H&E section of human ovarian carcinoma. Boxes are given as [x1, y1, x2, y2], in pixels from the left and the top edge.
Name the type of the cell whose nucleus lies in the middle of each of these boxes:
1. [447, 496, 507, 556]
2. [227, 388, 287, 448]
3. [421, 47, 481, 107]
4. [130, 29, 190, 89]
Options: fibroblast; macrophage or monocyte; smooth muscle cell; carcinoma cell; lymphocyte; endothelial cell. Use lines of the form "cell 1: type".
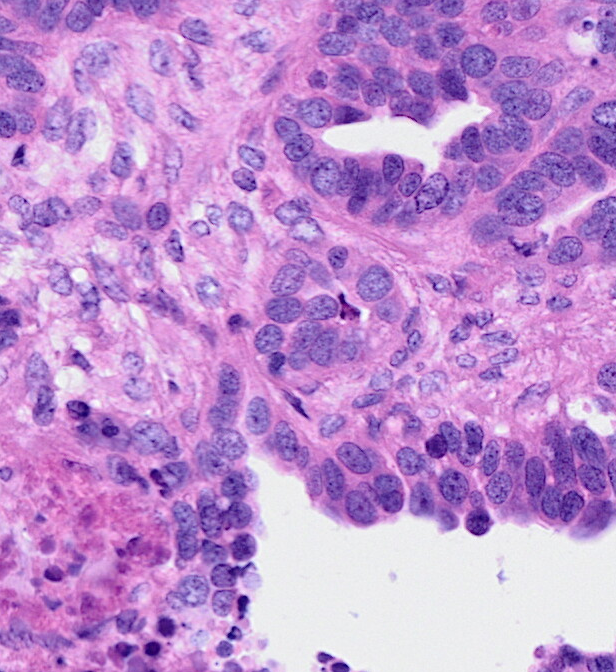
cell 1: carcinoma cell
cell 2: carcinoma cell
cell 3: carcinoma cell
cell 4: fibroblast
